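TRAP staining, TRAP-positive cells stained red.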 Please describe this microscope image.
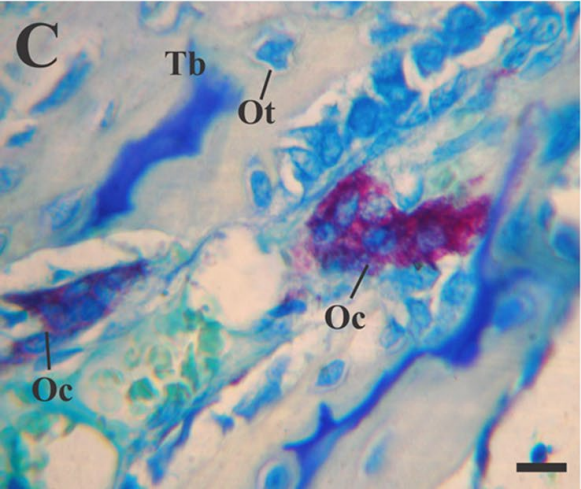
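Bone tissue with blue-stained trabeculae containing osteocytes, and a large red-stained multinucleated osteoclast lying in the tissue between them, with a second red cell at the left edge. The osteoclast shows several nuclei within granular red cytoplasm and is much larger than the small blue cells around it.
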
